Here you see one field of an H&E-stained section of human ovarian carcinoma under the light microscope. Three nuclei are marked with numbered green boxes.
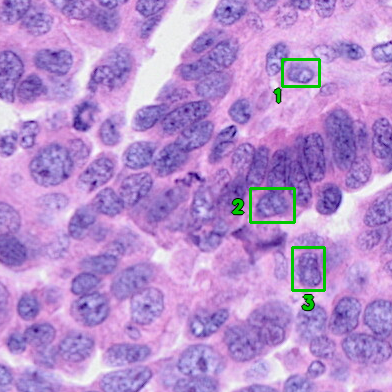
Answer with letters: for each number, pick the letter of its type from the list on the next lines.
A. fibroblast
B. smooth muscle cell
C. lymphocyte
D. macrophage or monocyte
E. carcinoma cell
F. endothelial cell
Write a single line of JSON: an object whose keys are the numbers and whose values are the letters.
{"1": "A", "2": "E", "3": "E"}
